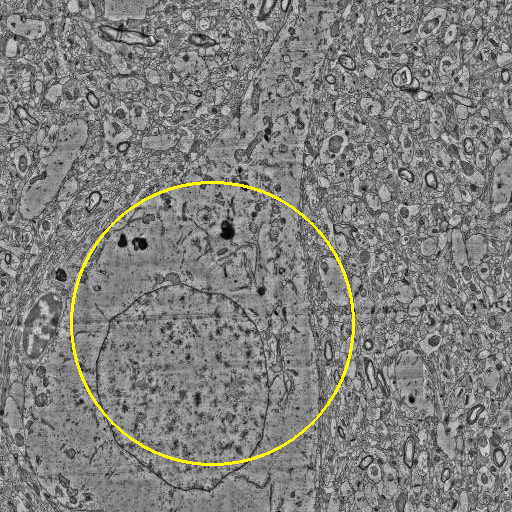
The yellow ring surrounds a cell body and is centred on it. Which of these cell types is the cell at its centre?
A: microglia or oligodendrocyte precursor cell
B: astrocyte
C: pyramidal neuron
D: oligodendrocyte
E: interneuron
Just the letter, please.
C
